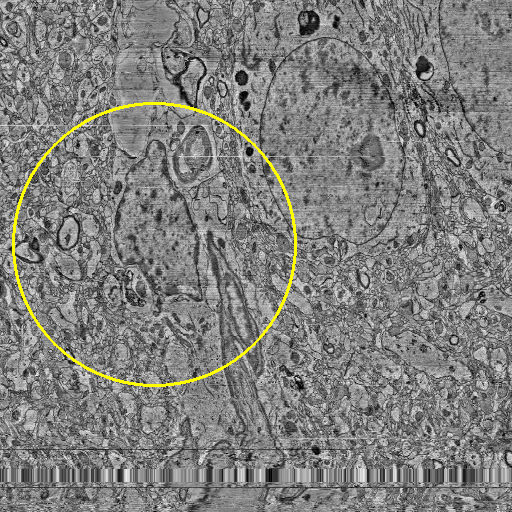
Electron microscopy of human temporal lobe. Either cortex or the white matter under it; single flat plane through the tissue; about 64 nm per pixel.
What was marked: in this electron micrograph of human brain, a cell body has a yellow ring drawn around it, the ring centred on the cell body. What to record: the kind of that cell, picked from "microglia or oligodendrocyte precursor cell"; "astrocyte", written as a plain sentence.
The centred cell is a microglial cell or oligodendrocyte precursor cell.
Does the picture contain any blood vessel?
Yes.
